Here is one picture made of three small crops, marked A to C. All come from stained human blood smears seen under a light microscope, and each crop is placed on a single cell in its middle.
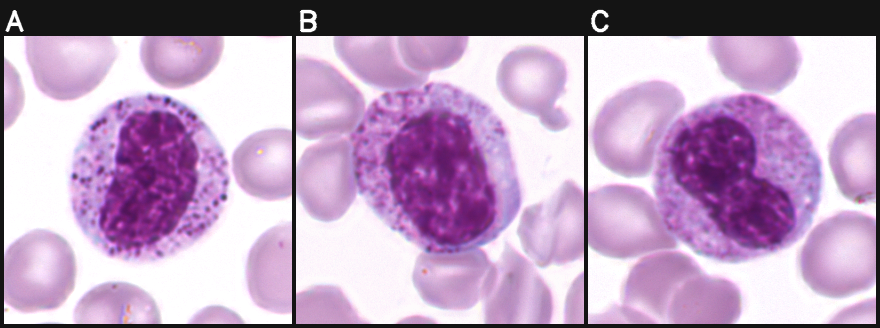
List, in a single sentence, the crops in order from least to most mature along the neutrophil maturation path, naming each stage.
The arrangement from least to most mature is crop B (a myelocyte), crop A (a metamyelocyte) and crop C (a band neutrophil).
